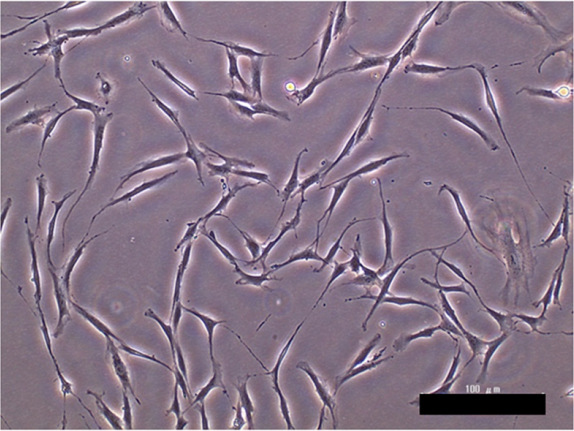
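This unstained culture shows scattered, flat, spindle-shaped and star-shaped cells growing apart from one another on the dish. No rounded, refractile droplets are seen in the cells.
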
